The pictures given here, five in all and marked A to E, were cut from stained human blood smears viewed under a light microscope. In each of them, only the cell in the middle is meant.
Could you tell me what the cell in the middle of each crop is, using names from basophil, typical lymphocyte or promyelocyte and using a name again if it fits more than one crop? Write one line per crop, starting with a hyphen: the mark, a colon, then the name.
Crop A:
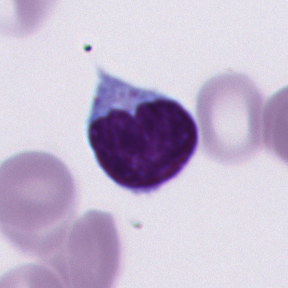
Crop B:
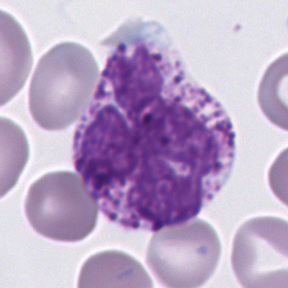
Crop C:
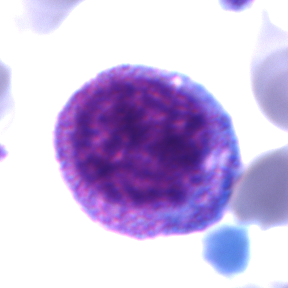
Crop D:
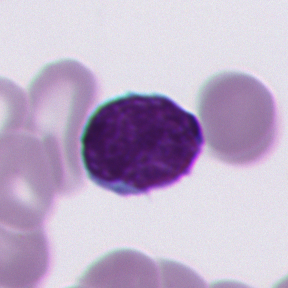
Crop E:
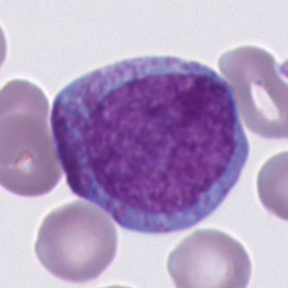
- A: typical lymphocyte
- B: basophil
- C: promyelocyte
- D: typical lymphocyte
- E: promyelocyte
